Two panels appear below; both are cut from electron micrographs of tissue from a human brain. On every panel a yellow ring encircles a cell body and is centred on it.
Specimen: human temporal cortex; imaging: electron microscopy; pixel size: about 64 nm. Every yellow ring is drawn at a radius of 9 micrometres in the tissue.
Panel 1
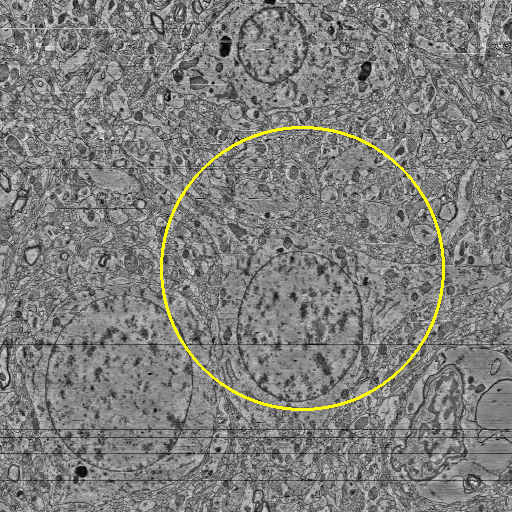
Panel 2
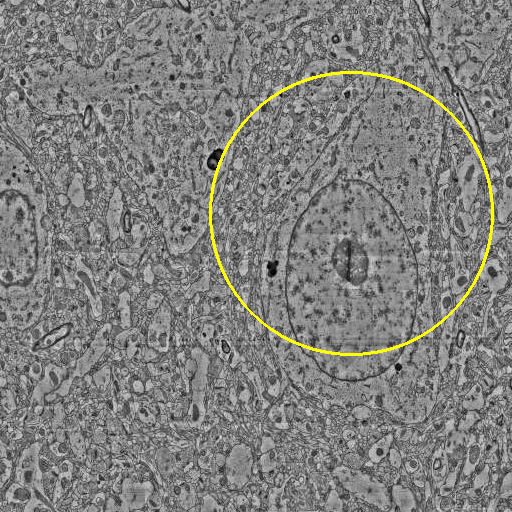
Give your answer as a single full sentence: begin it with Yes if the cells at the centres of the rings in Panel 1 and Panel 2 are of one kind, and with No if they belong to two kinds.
Yes, the cells in the middle of the rings in Panels 1 and 2 are of one kind.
